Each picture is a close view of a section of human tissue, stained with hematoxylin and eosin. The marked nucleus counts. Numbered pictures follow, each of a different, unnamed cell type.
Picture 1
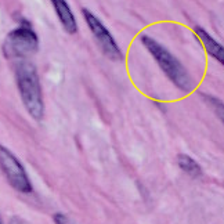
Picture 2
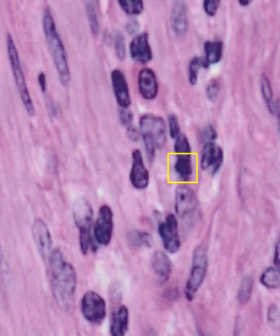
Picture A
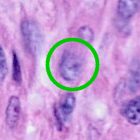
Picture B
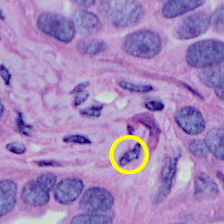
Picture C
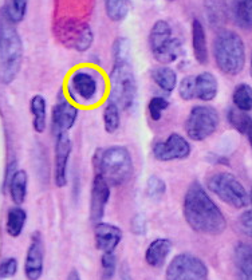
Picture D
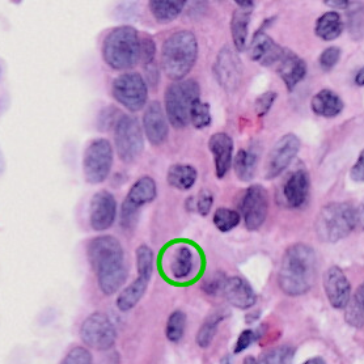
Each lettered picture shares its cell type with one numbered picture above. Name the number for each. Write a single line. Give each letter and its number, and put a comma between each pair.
A 1, B 1, C 2, D 2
